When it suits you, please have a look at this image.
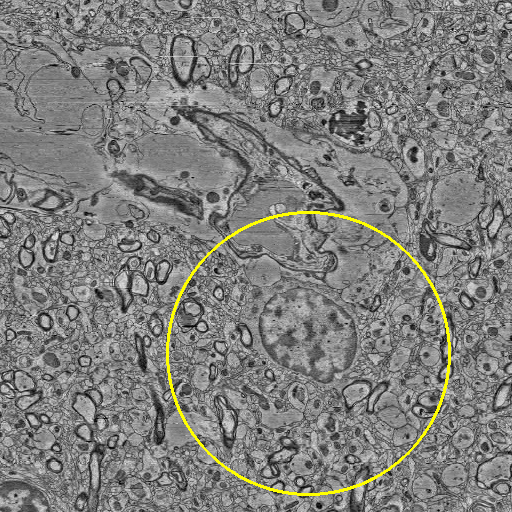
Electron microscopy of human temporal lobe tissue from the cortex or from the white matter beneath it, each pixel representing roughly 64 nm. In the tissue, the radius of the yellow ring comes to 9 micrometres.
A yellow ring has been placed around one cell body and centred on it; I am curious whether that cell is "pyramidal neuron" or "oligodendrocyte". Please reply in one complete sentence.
The ringed cell, an oligodendrocyte, has its body at the centre of the yellow ring.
